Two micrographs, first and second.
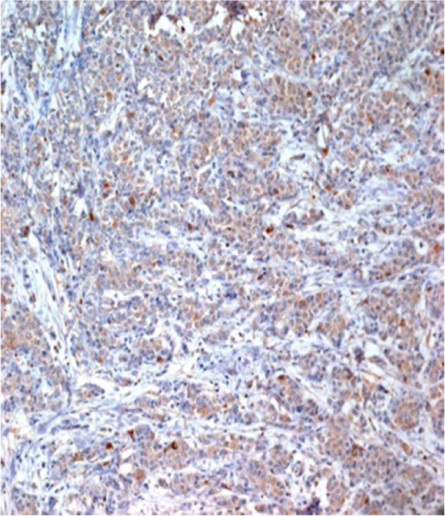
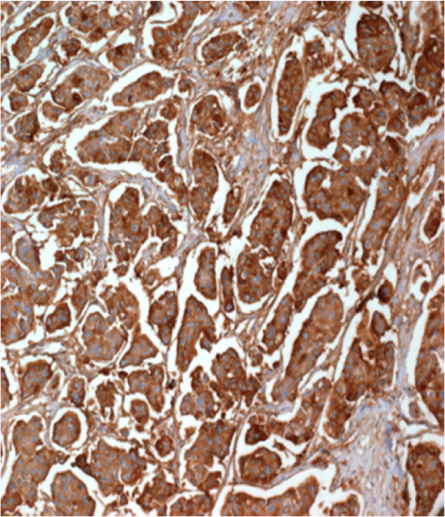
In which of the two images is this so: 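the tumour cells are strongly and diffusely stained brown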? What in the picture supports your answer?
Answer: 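Second image: nearly every cell in the tumour nests is dark brown. First image: the tumour cells are only faintly tan, with blue nuclei and stroma dominating and a few scattered brown dots.
Conclusion: the second image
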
